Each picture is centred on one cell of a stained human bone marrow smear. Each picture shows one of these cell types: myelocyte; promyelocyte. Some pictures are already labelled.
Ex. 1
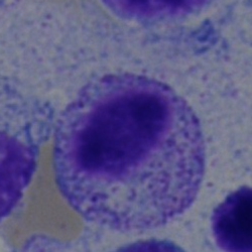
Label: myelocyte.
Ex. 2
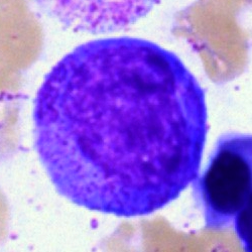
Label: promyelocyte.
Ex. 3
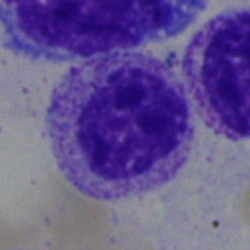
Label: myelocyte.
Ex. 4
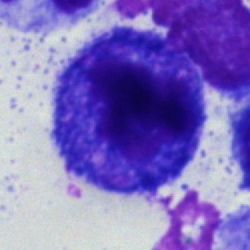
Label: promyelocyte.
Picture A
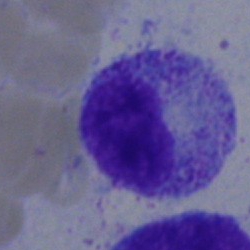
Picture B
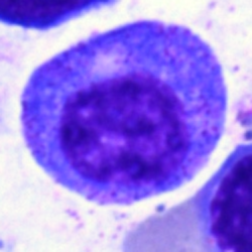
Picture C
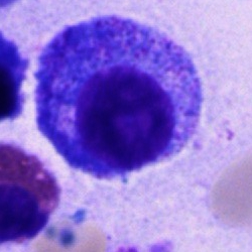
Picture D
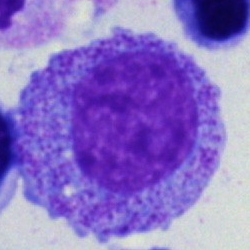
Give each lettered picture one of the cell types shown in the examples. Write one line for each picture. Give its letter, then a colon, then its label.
A: myelocyte.
B: promyelocyte.
C: promyelocyte.
D: promyelocyte.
